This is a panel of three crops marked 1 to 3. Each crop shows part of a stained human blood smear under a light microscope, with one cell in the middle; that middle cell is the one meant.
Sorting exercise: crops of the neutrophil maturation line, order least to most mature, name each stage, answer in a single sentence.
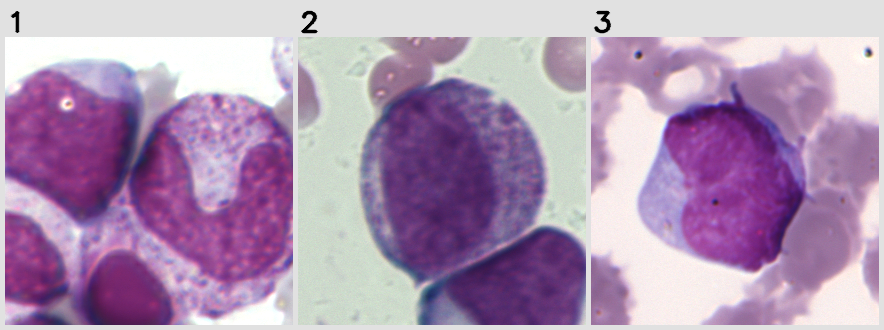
From youngest to most mature, the cells go crop 3 (a blast), crop 2 (a promyelocyte) and crop 1 (a band neutrophil).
